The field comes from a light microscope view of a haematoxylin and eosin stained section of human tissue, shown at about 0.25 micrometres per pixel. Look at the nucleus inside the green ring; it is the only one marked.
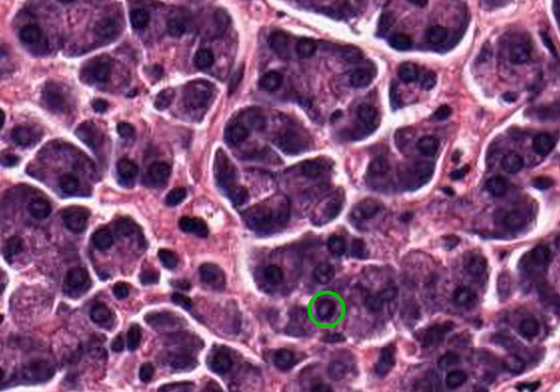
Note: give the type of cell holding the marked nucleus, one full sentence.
The marked nucleus is a nucleus of a pancreatic acinar cell.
